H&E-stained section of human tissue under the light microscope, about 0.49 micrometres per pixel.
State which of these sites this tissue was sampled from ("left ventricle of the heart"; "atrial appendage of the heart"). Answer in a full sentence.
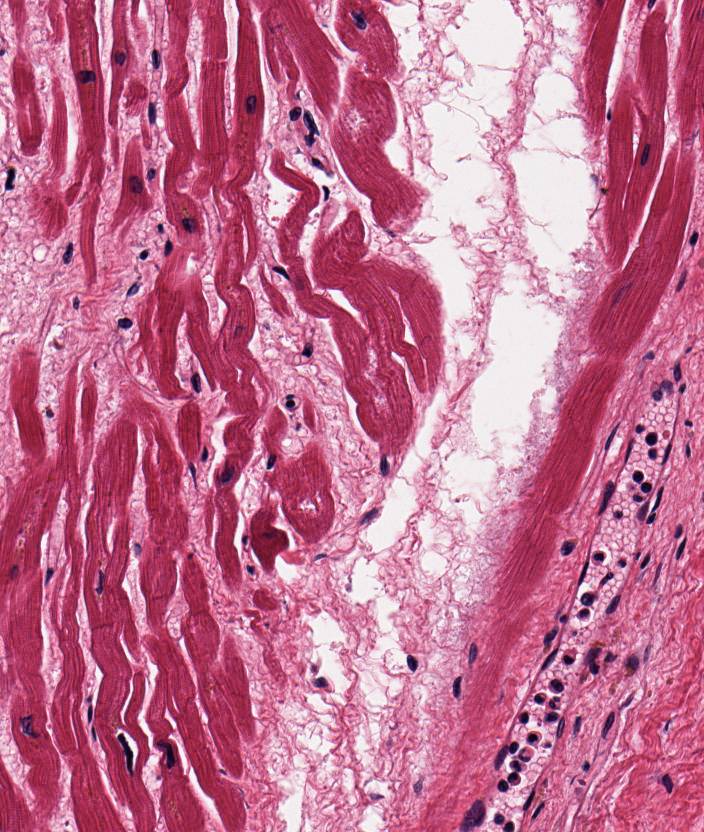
The site this tissue was sampled from is the left ventricle of the heart.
